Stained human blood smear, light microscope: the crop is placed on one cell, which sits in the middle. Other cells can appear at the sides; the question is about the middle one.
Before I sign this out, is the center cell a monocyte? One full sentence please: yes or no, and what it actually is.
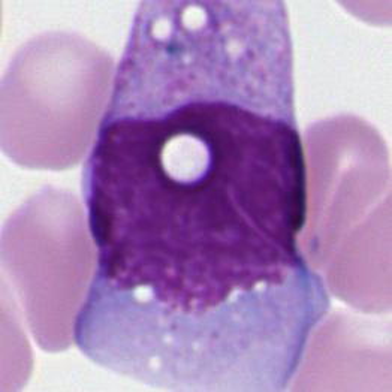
Yes, the identity of the central cell is that of a monocyte.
